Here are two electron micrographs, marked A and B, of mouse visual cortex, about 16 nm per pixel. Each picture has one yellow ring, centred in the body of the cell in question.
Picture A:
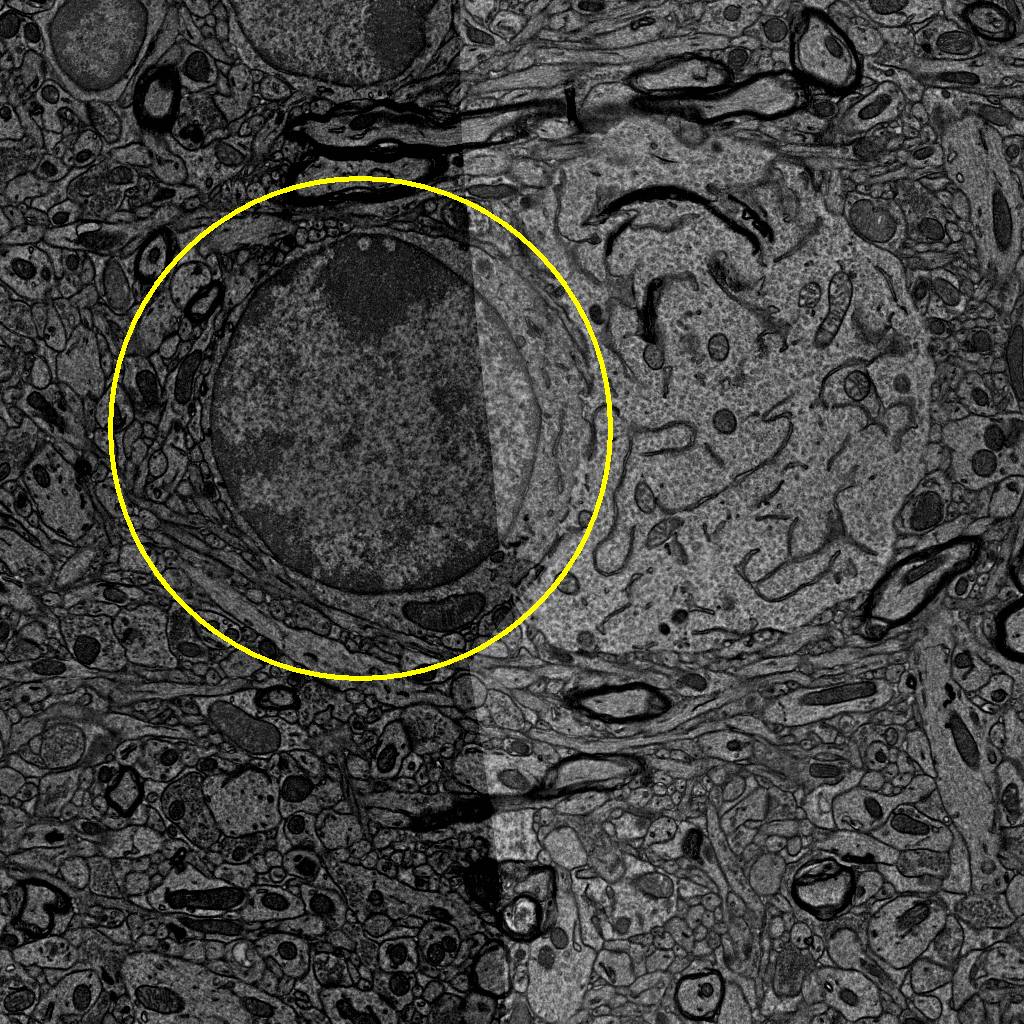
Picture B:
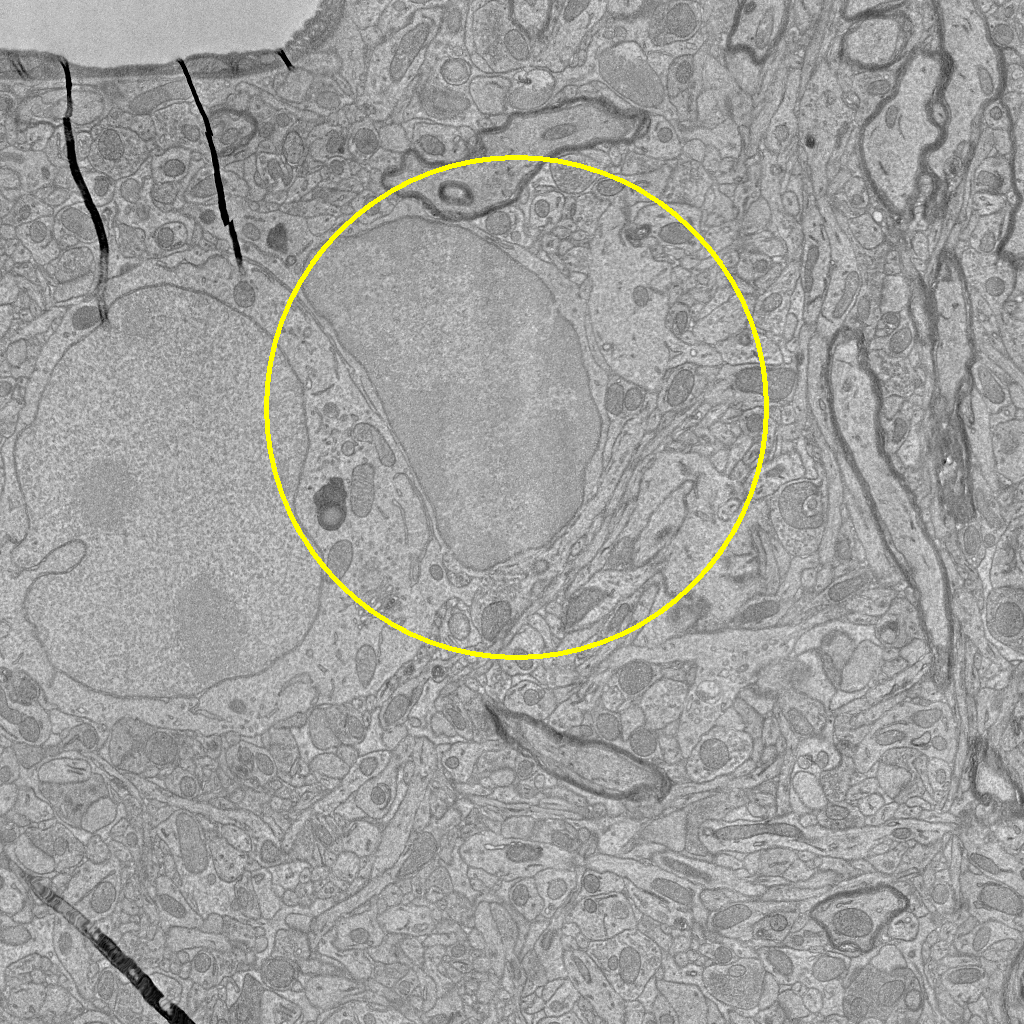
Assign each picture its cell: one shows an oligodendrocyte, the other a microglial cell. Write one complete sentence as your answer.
The cell in picture A is an oligodendrocyte, and the one in picture B is a microglial cell.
